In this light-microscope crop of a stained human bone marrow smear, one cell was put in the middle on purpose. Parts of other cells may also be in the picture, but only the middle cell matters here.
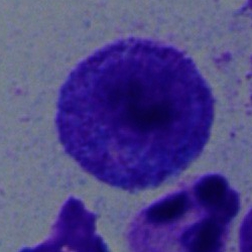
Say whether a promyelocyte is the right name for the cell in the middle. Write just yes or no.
yes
